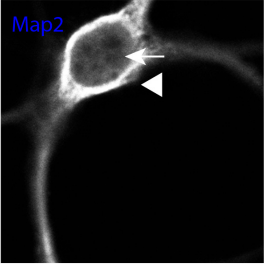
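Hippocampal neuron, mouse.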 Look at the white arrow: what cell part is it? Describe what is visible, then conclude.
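Nuclei. The arrow points at a round dark area inside the brightly labelled cell body. The bright labelling surrounds this area and continues into thick processes.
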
